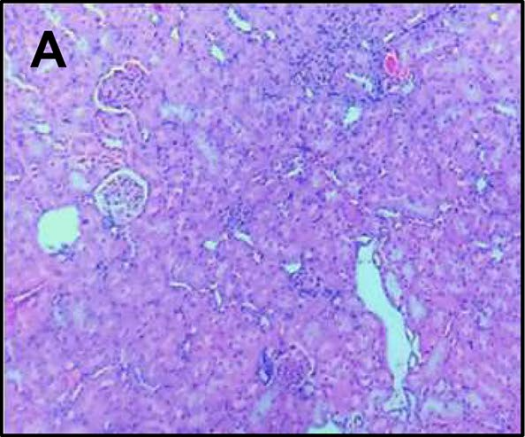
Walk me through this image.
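This section shows kidney tissue in which round glomeruli lie scattered among densely packed tubules. Each glomerulus is a compact tuft of capillaries with purple nuclei, set within a clear space enclosed by a thin capsule. The surrounding tubules are cut in cross section and lined by cells with pink cytoplasm and small dark purple nuclei, with narrow pale lumens between them. Small vessels and a longer clear channel run through the tissue, one vessel holding red blood cells.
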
